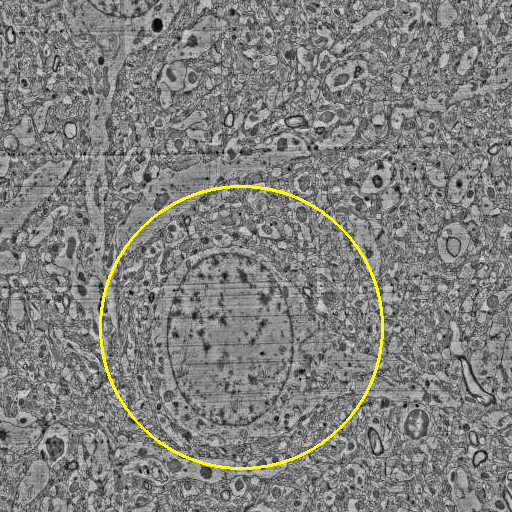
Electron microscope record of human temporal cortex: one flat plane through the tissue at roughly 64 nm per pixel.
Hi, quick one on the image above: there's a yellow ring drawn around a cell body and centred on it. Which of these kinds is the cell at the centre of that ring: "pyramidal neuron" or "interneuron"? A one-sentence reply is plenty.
The cell at the centre of the ring is a pyramidal neuron.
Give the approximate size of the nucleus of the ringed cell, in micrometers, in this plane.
About 11 micrometres by about 8 micrometres in this plane.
